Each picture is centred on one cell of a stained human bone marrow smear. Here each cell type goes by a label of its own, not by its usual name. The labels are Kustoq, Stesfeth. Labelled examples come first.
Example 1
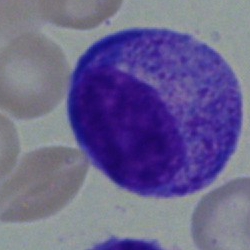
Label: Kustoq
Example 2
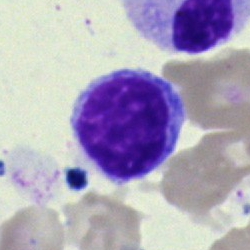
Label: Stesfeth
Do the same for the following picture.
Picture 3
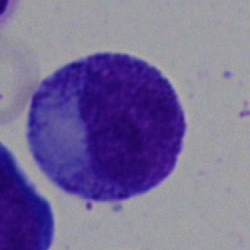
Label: Kustoq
